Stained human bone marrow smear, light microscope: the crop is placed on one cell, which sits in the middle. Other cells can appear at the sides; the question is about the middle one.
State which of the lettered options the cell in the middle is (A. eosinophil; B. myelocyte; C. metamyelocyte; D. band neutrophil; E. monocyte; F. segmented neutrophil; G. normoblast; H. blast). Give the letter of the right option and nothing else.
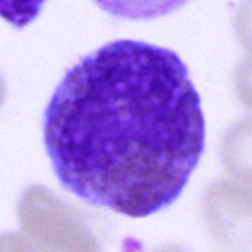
A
